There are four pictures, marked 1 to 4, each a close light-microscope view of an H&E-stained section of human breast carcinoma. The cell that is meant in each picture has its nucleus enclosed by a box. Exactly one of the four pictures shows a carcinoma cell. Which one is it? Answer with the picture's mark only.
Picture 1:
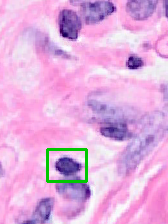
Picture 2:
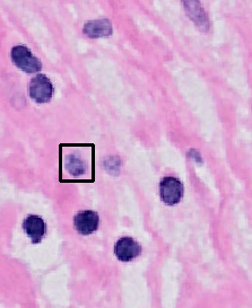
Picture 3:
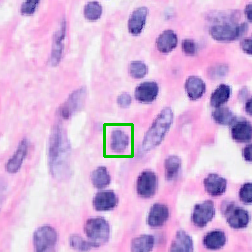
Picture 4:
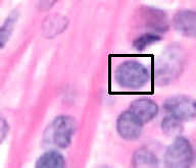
4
